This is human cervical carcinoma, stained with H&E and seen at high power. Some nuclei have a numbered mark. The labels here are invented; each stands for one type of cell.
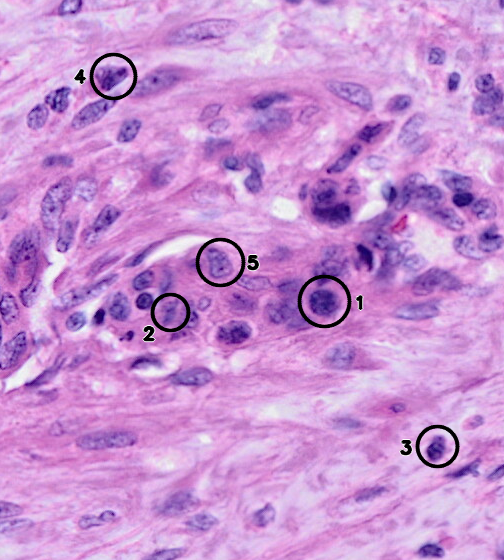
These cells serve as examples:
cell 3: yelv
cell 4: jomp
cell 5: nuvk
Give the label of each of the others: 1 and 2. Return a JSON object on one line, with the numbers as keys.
{"1": "nuvk", "2": "nuvk"}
